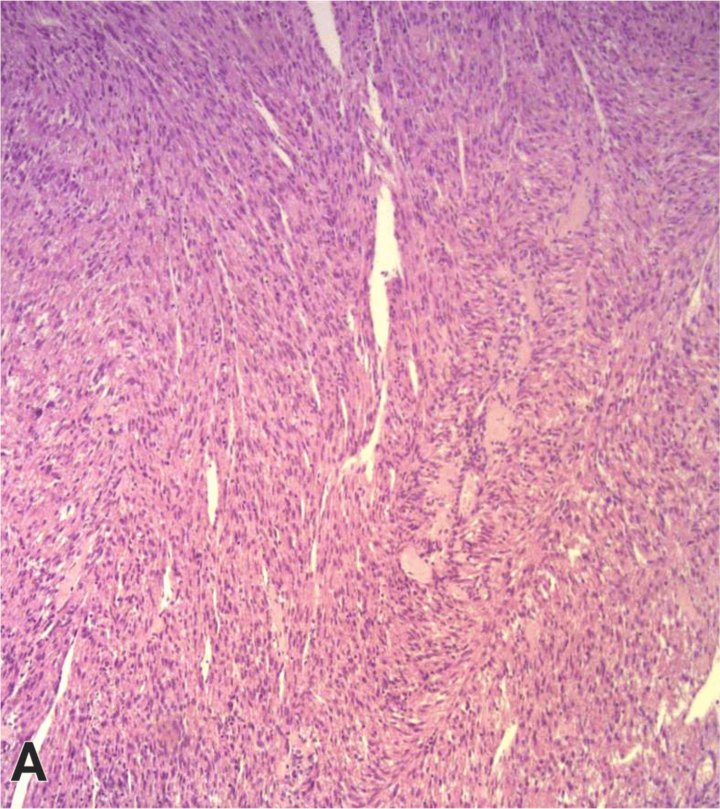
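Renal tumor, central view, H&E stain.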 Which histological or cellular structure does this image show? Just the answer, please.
intersecting bundles of spindle cells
